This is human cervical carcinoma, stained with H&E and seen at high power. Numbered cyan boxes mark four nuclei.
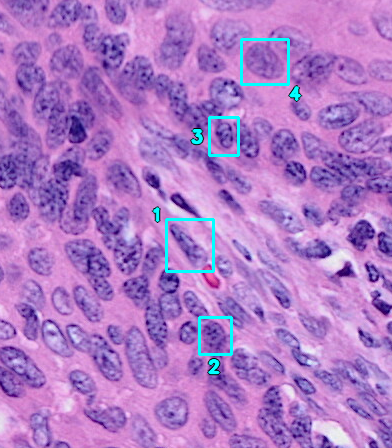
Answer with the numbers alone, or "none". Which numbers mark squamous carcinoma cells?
2, 3, 4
